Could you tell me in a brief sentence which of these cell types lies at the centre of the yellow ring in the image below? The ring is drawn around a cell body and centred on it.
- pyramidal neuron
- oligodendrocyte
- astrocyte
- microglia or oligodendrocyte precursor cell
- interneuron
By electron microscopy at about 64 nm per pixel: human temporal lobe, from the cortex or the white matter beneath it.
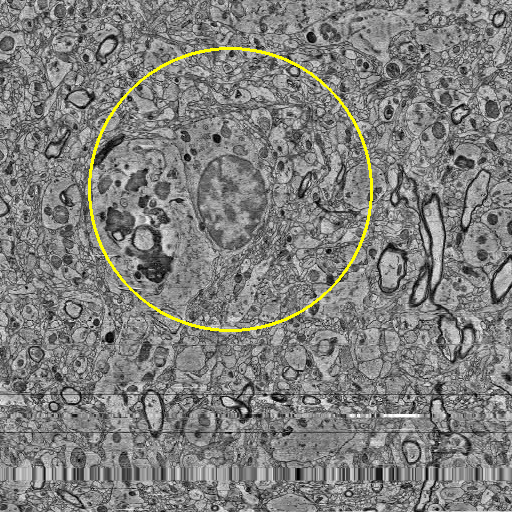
The cell centred in the ring is an oligodendrocyte.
